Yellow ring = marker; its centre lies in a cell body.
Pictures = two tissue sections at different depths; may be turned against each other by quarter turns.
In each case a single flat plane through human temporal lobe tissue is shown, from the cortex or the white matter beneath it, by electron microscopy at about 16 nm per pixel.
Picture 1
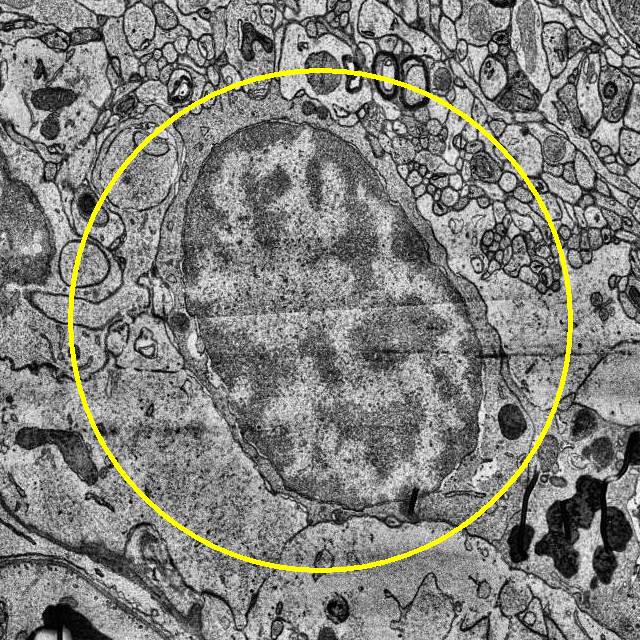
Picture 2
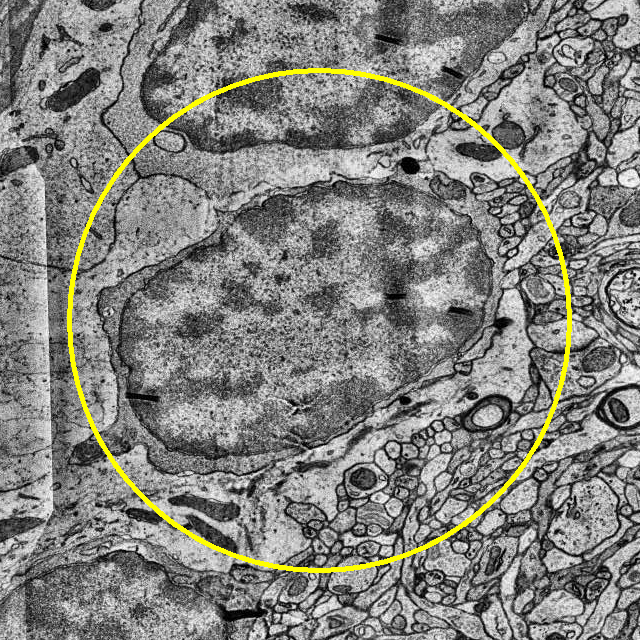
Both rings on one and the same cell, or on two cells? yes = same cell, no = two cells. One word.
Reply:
yes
